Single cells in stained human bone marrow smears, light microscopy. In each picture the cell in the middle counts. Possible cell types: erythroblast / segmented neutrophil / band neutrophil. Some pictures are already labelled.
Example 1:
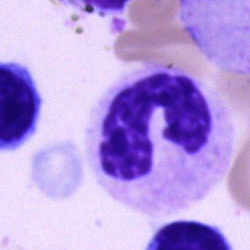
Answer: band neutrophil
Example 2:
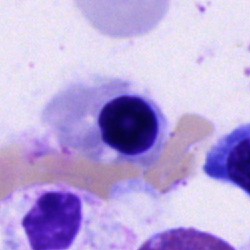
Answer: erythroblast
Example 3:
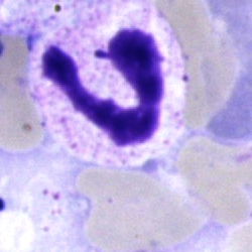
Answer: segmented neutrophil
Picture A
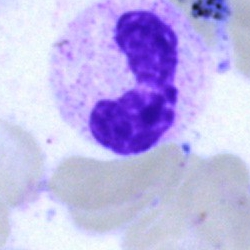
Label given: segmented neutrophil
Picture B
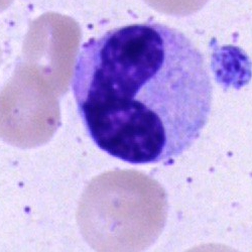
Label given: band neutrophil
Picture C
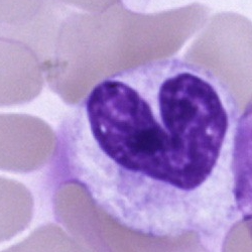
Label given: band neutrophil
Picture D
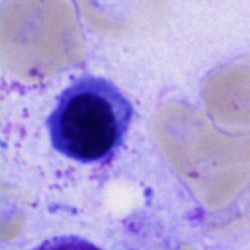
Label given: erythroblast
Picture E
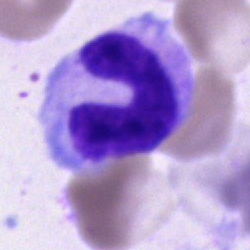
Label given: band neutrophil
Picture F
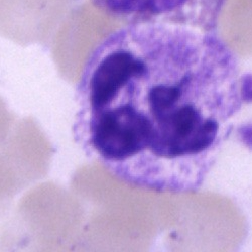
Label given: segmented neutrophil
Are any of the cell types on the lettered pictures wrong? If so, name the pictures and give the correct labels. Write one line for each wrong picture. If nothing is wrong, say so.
All correct.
